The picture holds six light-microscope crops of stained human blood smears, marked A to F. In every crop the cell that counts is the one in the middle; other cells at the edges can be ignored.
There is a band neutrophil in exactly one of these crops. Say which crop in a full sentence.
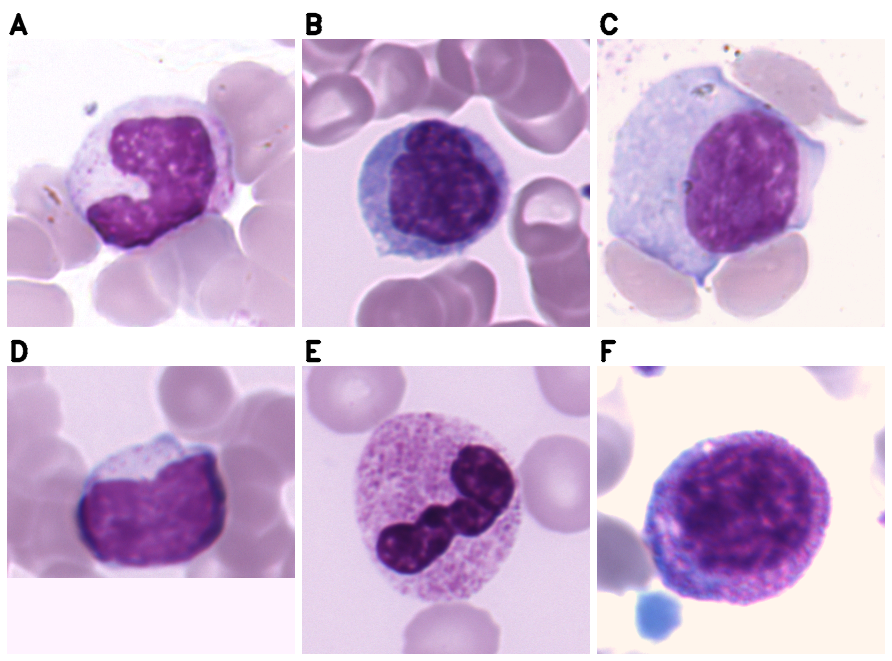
Identified crop: A, the one that shows a band neutrophil.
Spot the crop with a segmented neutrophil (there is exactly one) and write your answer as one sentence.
Of all the crops, crop E is the one showing a segmented neutrophil.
